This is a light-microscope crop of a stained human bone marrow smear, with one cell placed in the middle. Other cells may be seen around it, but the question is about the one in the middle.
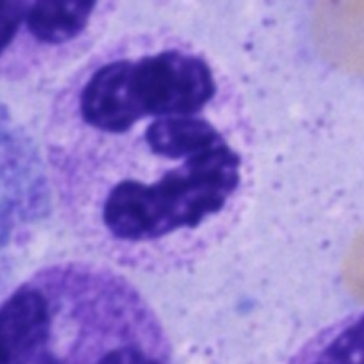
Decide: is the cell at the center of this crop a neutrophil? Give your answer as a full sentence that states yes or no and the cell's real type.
Yes, the cell of interest in the middle is a neutrophil.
